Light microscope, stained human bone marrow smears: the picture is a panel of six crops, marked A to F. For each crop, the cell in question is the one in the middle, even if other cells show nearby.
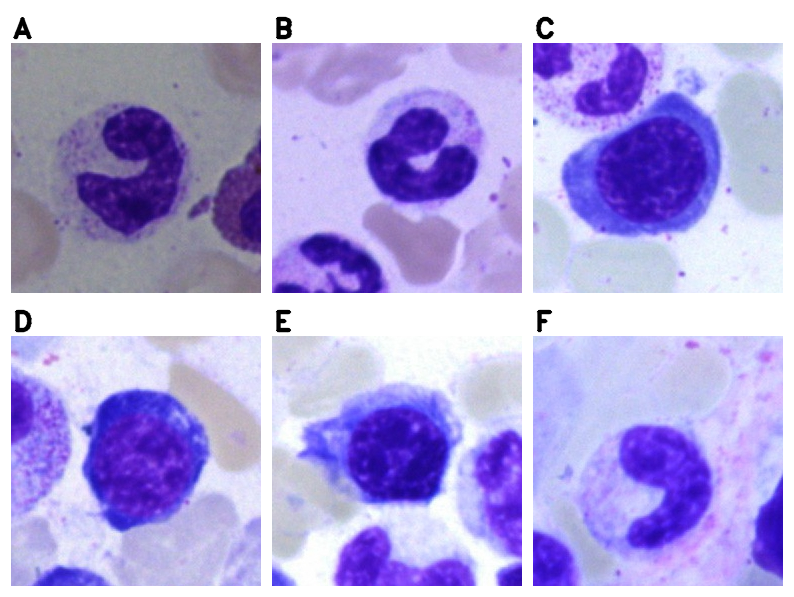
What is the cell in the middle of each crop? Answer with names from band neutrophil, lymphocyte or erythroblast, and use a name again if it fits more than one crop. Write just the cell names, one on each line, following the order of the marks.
band neutrophil
band neutrophil
erythroblast
erythroblast
erythroblast
band neutrophil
